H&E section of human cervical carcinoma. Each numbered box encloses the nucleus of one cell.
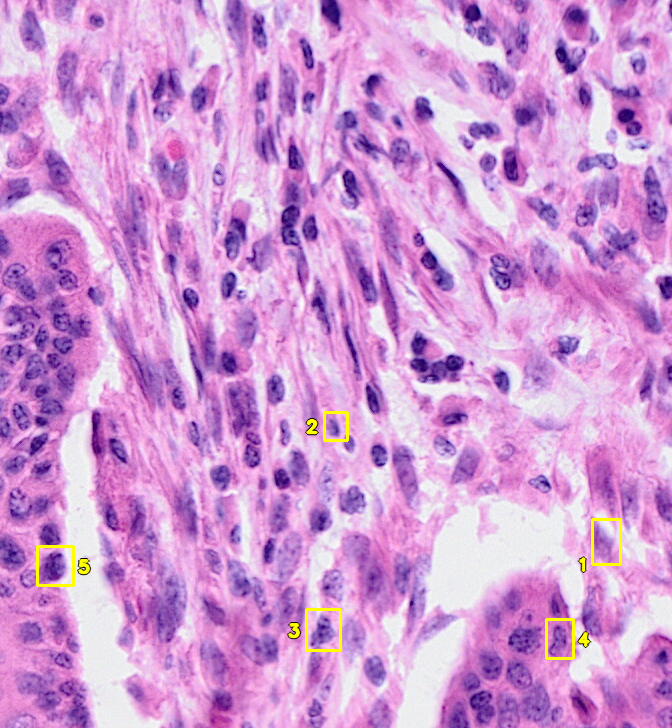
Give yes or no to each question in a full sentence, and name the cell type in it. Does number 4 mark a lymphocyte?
No, the cell under number 4 is a squamous carcinoma cell, not a lymphocyte.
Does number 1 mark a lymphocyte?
No, cell 1 should be classed as a fibroblast, not as a lymphocyte.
